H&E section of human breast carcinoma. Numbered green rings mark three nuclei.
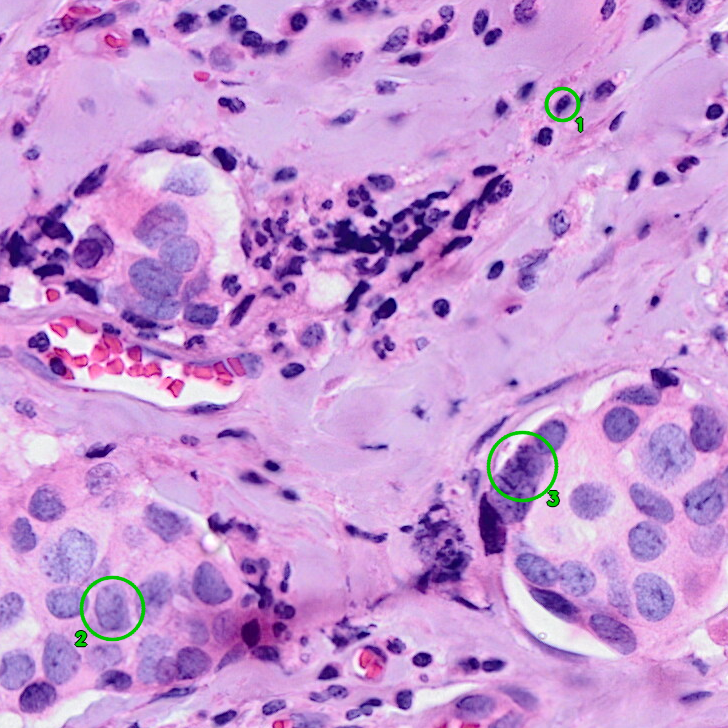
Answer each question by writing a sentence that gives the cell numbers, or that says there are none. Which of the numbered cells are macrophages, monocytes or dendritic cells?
Among the cells marked by numbers, there are no macrophages, monocytes or dendritic cells.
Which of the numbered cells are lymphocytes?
Of all the numbered cells, only one is a lymphocyte, and that is cell 1.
